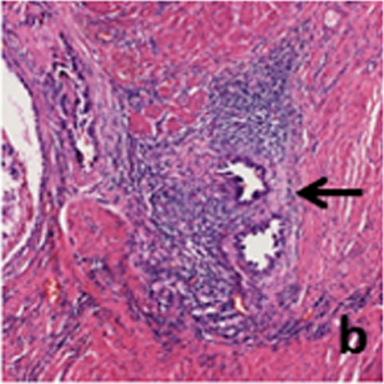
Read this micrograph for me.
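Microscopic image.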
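In the centre lies a focus of dark blue, cell-rich tissue that surrounds two small irregular glandular spaces. The cells lining these spaces sit at their edge, where the arrow points. All around, pink bundles of fibromuscular stroma run in various directions, with a few other small spaces at the margins.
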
